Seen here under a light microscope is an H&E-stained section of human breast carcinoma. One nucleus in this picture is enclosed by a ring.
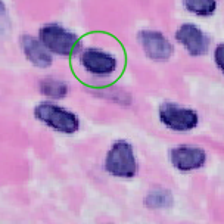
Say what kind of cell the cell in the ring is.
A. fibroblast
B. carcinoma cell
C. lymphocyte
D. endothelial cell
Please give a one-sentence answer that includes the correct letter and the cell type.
The choice that fits is option C, as the cell in the ring is a lymphocyte.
